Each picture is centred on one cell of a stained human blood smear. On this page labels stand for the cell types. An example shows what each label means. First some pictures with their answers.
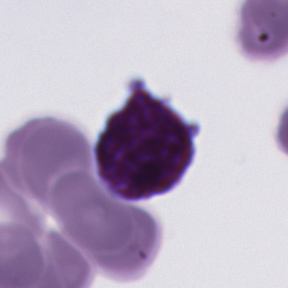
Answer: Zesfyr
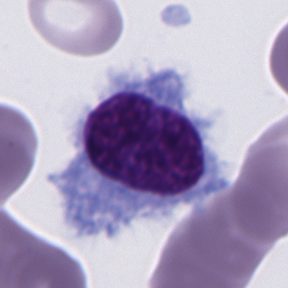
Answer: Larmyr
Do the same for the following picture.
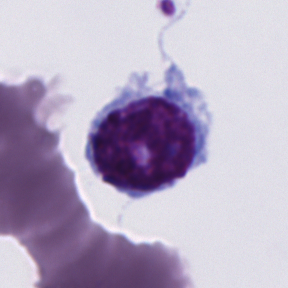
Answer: Larmyr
